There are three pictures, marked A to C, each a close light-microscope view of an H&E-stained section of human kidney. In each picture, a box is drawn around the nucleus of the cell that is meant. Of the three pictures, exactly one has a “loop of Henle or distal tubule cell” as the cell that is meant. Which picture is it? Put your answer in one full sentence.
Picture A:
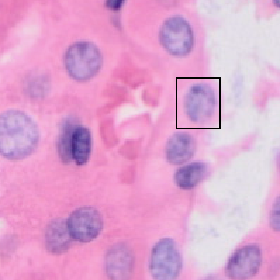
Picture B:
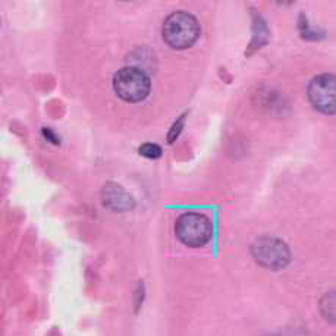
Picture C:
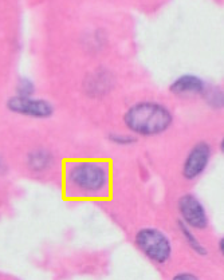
Picture C shows the “loop of Henle or distal tubule cell”.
